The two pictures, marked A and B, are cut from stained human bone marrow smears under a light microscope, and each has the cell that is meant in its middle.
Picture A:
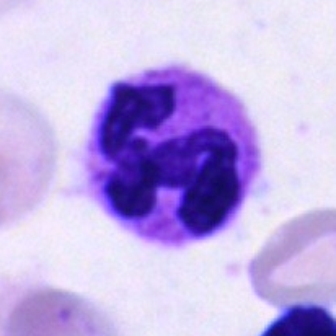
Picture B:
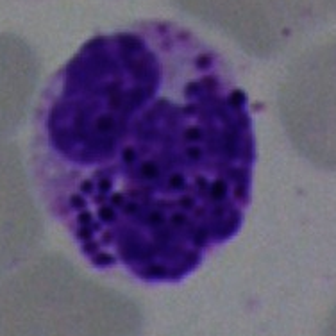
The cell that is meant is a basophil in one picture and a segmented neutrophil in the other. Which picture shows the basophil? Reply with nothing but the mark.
B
